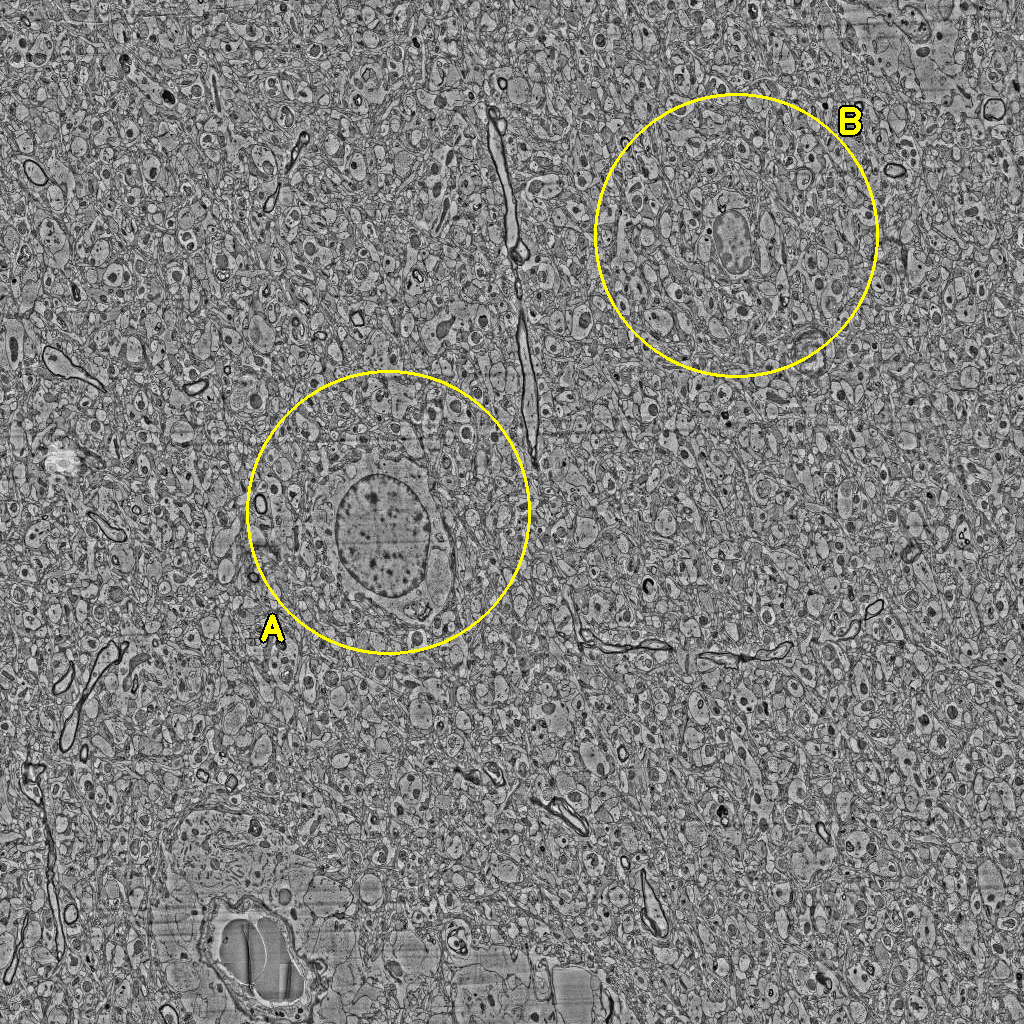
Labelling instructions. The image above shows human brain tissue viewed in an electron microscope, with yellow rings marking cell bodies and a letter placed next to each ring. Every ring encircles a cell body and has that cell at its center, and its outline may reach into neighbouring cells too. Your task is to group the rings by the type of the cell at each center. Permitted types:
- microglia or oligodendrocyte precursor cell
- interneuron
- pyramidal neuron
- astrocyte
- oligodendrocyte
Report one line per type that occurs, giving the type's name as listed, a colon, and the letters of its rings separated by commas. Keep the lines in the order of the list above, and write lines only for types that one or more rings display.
microglia or oligodendrocyte precursor cell: B
astrocyte: A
